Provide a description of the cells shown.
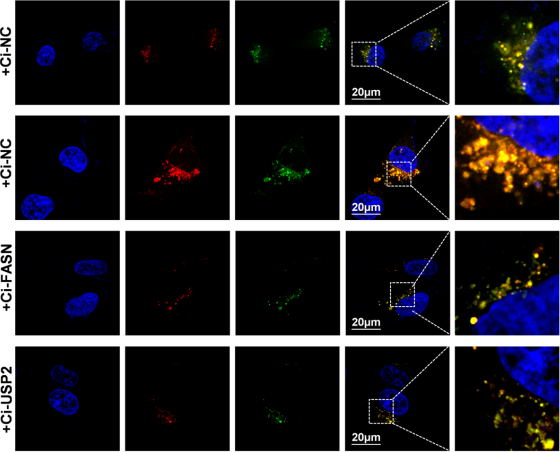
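These are cultured cells shown as separate blue, red and green channels, an overlay and an enlarged overlay of the boxed region. Each cell has a single oval blue nucleus, and small punctate dots gather in the cytoplasm close to the nucleus. In one row the dots are much denser and form a bright orange cluster beside the nucleus.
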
